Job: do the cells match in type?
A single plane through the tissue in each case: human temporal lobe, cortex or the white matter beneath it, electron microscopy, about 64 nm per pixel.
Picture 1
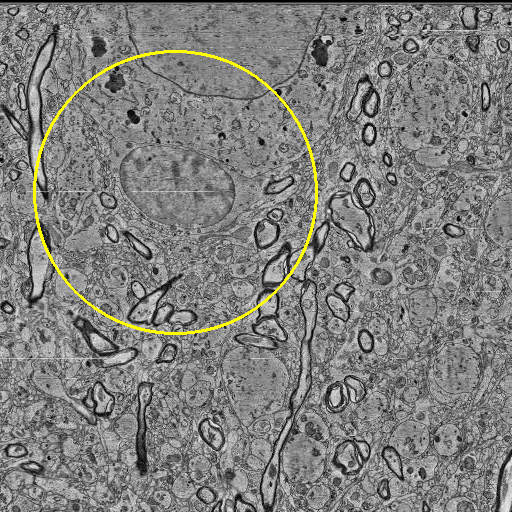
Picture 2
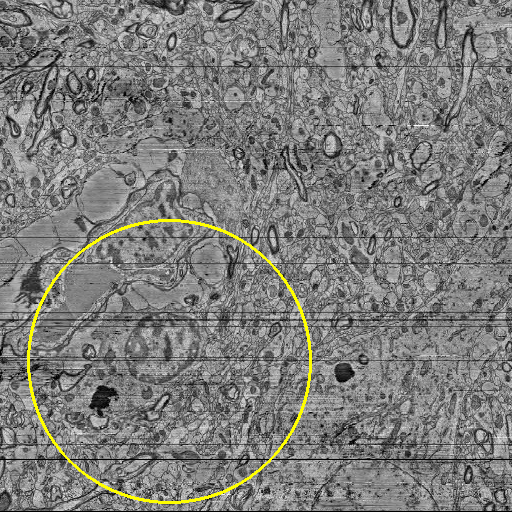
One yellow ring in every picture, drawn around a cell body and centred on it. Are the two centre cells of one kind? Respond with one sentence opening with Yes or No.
Yes, the ringed cells in the two pictures are of one and the same kind.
